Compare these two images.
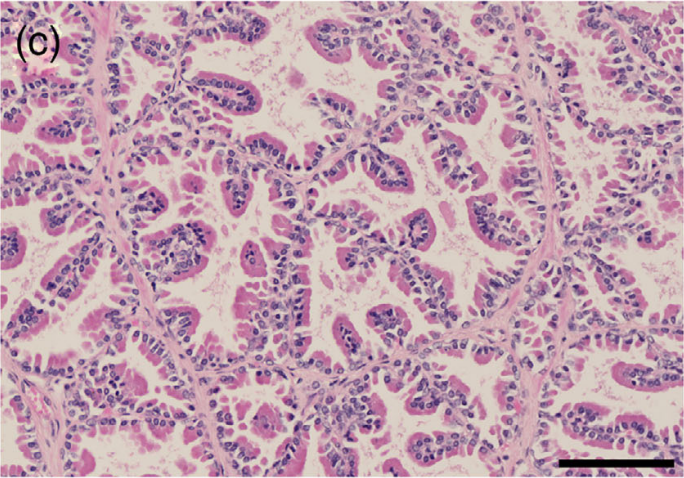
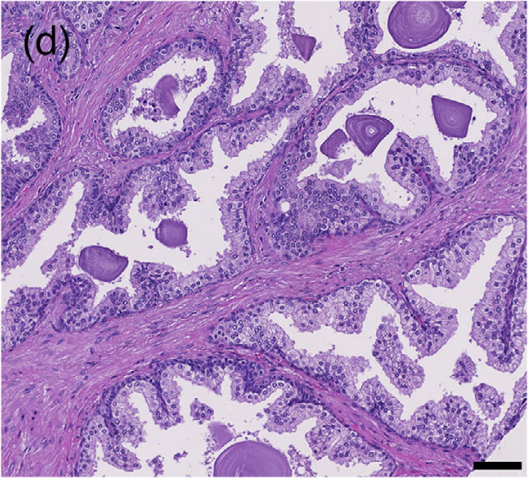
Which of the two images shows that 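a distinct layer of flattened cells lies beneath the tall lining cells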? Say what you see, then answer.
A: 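Second image: a row of small dark nuclei lies along the base of the epithelium under the paler tall cells. First image: the tall pink cells sit directly on thin stromal cores with no clear second layer. So: the second image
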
